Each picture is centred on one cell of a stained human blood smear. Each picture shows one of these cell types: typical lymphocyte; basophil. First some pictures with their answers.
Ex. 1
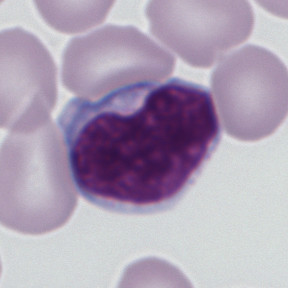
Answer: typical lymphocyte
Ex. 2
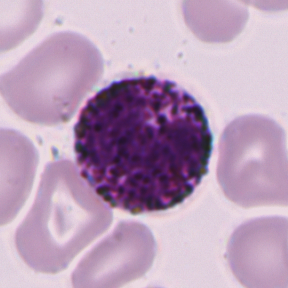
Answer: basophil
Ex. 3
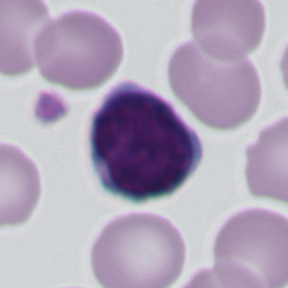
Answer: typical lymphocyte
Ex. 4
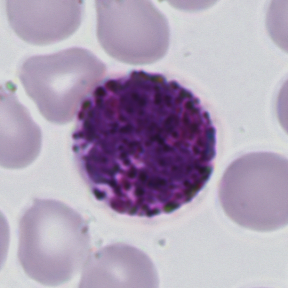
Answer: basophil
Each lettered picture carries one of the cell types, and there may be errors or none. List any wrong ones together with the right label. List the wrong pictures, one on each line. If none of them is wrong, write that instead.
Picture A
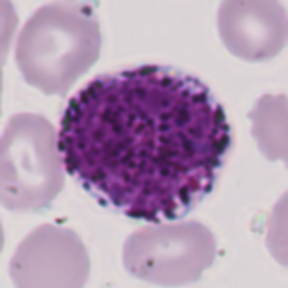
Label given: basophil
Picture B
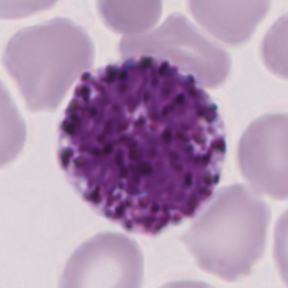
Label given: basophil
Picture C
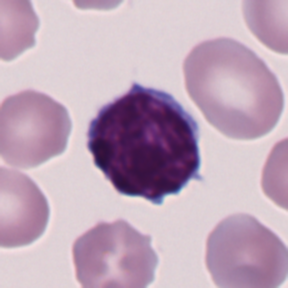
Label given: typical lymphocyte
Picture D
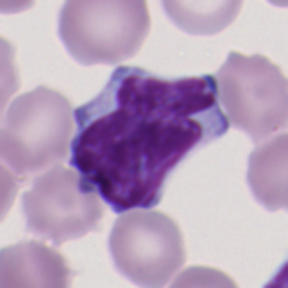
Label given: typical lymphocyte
All correct.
